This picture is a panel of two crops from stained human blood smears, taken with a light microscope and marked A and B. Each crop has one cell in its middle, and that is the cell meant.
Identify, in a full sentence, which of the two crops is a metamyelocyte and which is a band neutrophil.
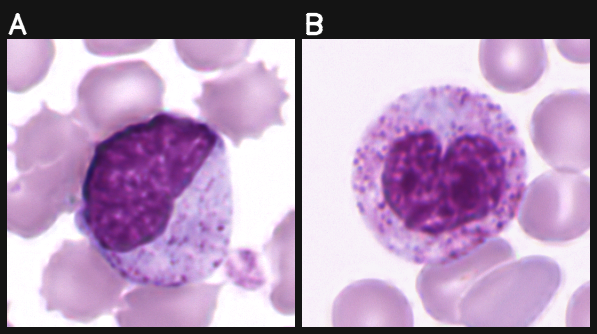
Crop A is a metamyelocyte, whereas a band neutrophil is found in crop B.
